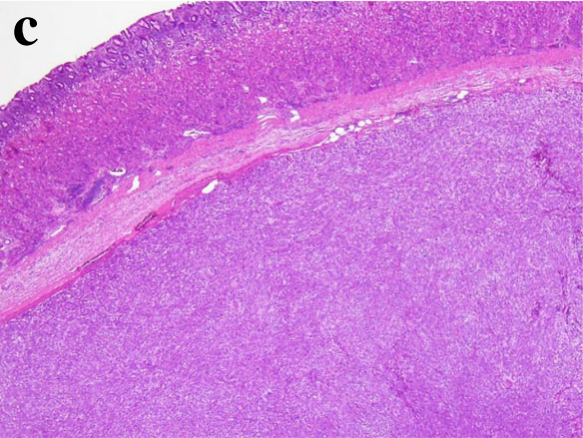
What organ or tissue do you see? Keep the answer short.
Stomach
